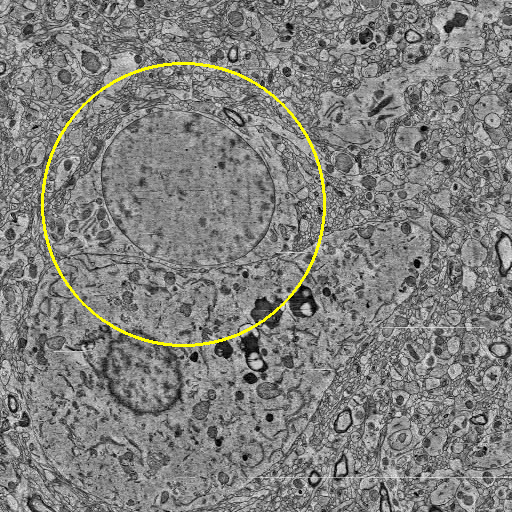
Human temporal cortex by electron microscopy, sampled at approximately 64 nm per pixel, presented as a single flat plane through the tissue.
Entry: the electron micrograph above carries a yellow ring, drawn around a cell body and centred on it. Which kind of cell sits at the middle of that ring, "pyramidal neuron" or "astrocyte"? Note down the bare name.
astrocyte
